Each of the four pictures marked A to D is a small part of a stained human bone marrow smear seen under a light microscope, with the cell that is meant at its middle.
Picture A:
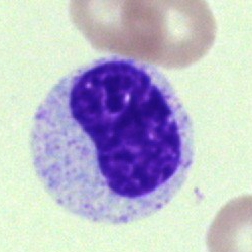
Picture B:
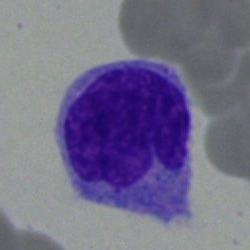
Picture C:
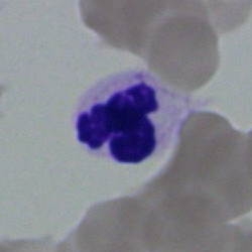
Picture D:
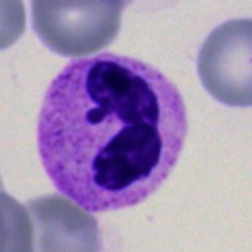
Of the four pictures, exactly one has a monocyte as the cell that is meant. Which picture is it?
B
